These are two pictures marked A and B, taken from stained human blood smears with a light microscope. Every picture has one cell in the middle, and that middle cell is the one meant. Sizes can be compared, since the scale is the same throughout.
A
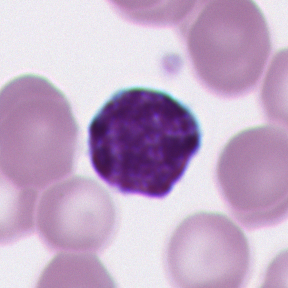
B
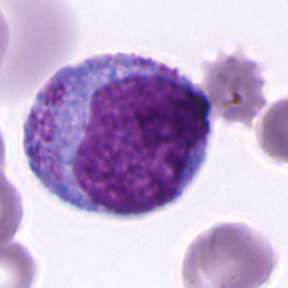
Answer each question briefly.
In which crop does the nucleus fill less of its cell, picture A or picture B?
B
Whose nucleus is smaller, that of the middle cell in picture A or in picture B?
A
